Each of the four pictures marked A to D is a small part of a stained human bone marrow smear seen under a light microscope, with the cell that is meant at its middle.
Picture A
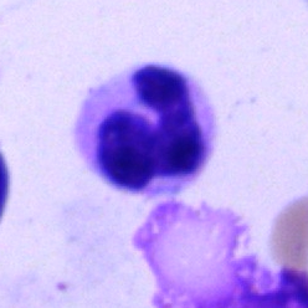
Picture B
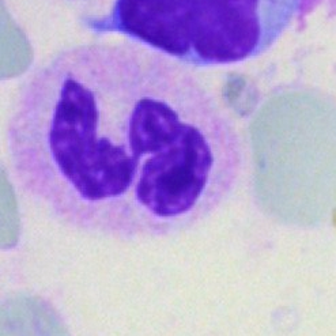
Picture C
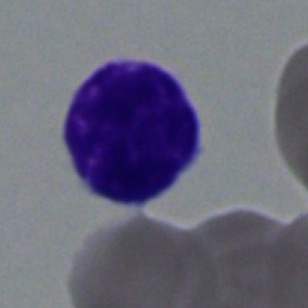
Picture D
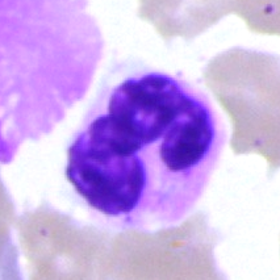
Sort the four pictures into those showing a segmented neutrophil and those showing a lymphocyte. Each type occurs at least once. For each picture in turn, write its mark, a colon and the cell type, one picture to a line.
A: segmented neutrophil
B: segmented neutrophil
C: lymphocyte
D: segmented neutrophil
